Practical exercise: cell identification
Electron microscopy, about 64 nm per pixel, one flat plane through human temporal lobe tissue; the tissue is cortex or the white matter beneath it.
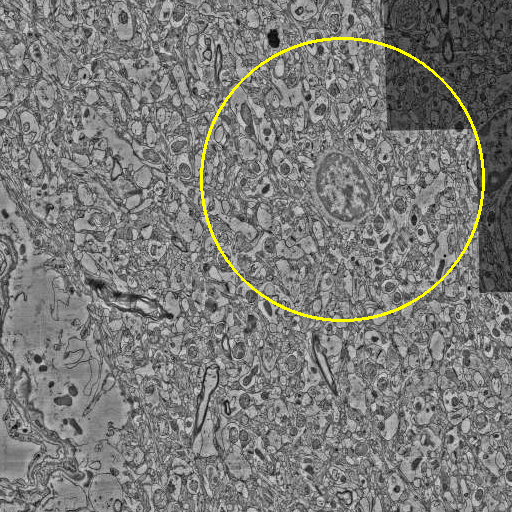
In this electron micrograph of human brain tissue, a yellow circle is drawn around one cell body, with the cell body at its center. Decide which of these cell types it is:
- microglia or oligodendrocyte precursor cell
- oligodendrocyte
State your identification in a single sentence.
The ringed cell is an oligodendrocyte.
